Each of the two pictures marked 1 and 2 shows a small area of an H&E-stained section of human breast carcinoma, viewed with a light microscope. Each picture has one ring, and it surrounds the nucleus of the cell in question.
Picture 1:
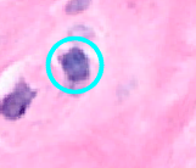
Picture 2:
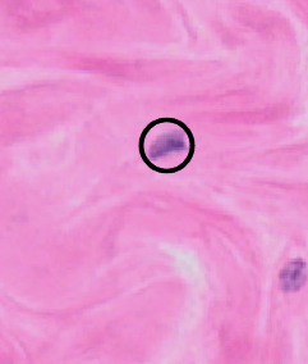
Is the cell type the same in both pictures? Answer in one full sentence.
No. Picture 1 shows a lymphocyte, but picture 2 shows a fibroblast.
